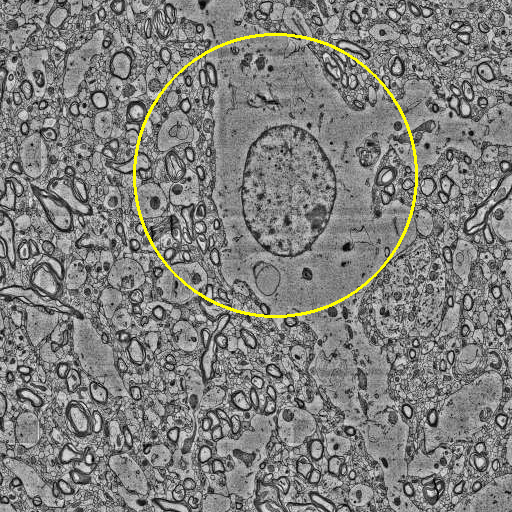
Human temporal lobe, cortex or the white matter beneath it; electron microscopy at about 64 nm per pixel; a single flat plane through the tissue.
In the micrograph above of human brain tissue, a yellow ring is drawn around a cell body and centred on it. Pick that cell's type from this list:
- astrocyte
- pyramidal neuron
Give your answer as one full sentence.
Going by the list, an astrocyte is the cell on which the yellow ring is centred.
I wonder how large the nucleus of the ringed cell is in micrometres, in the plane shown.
In this plane the nucleus measures roughly 8 by 6 micrometers.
